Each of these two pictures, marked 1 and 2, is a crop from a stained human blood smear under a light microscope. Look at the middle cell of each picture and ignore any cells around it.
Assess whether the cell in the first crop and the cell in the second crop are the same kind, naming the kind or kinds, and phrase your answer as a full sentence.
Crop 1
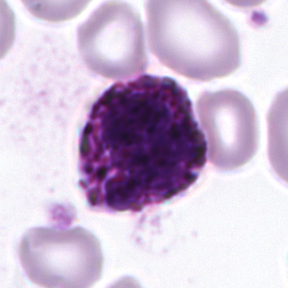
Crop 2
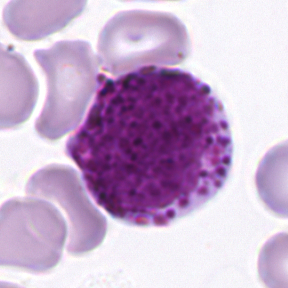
Yes, both crops feature basophils at the centre.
